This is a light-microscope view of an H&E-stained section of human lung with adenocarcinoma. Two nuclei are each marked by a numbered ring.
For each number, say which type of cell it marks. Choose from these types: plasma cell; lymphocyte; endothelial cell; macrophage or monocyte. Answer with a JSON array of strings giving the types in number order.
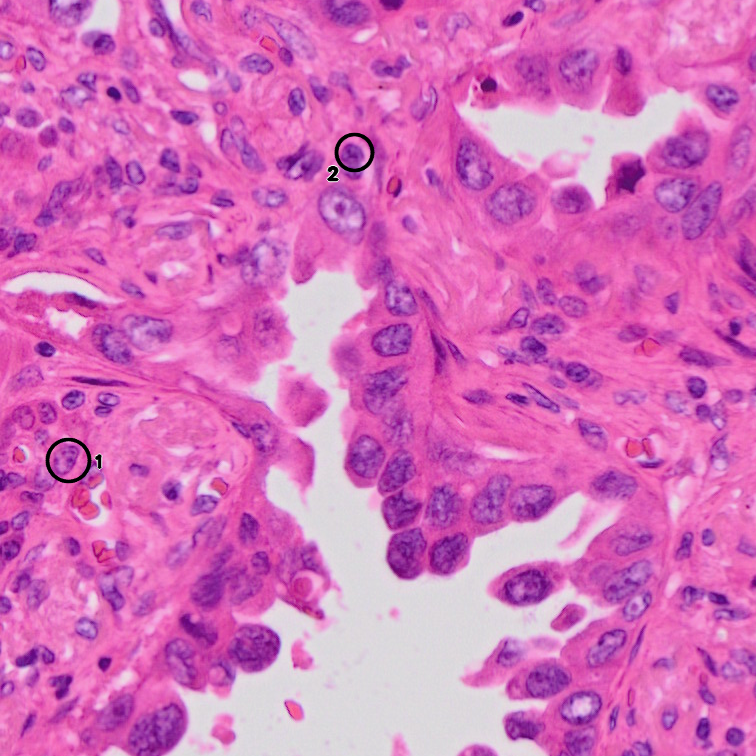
["macrophage or monocyte", "lymphocyte"]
